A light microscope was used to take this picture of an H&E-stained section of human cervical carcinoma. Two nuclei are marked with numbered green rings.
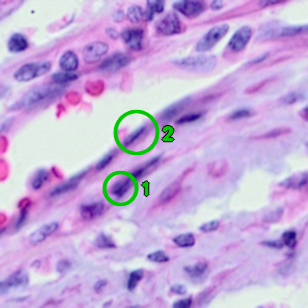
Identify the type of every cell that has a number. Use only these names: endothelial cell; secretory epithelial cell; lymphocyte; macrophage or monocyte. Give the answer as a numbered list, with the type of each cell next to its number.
1. lymphocyte
2. endothelial cell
